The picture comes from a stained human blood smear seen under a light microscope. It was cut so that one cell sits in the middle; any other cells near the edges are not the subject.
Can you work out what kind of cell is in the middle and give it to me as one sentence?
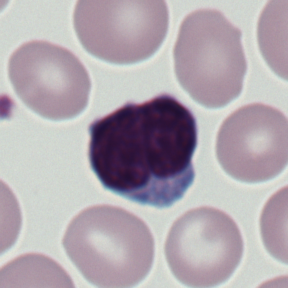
In this smear crop, the middle cell is a lymphocyte.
